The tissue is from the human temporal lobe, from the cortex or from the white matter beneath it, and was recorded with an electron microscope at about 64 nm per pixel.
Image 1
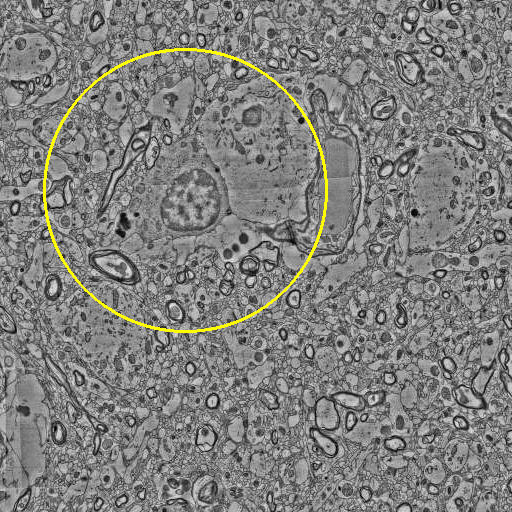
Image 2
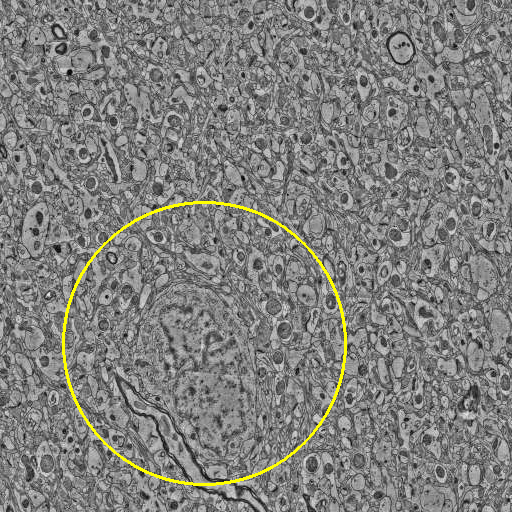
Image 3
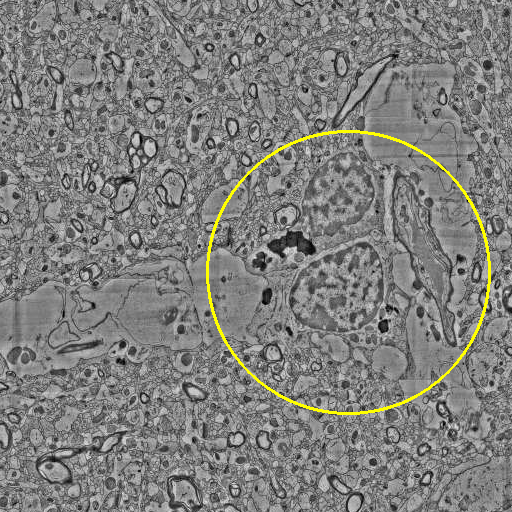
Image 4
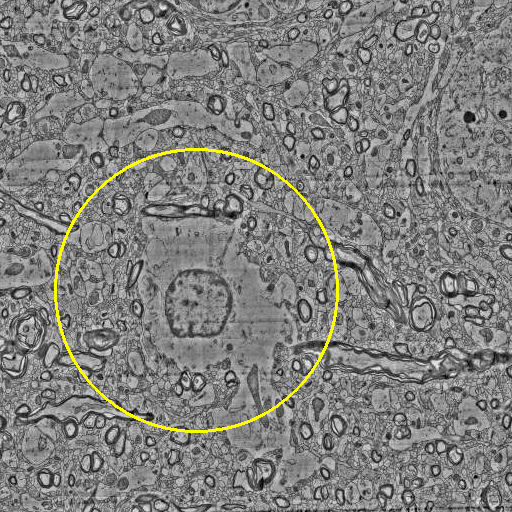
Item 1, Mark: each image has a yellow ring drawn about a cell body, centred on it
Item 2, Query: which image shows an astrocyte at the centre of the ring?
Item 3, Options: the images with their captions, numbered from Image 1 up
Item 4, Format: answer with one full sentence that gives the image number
My answer is image 4, where the cell at the ring's centre fits.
